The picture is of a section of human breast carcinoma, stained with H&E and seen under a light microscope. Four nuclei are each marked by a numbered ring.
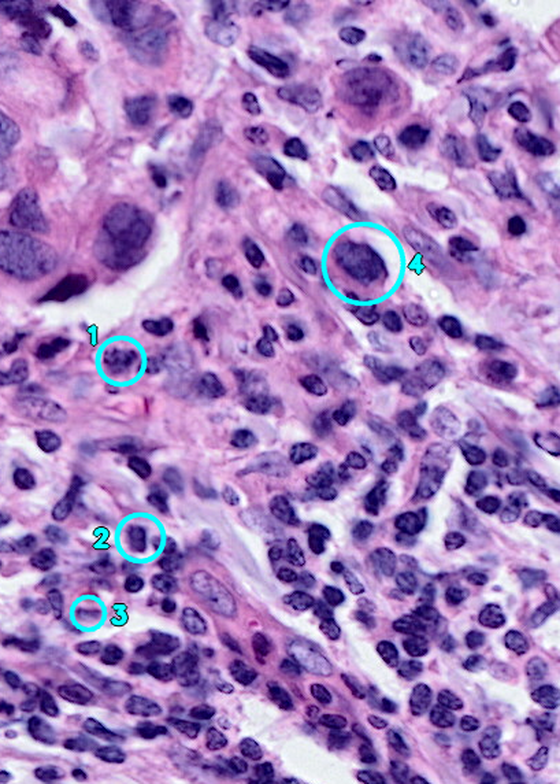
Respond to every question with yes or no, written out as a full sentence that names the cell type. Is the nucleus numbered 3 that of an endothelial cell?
Yes, the cell at the mark numbered 3 is an endothelial cell.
